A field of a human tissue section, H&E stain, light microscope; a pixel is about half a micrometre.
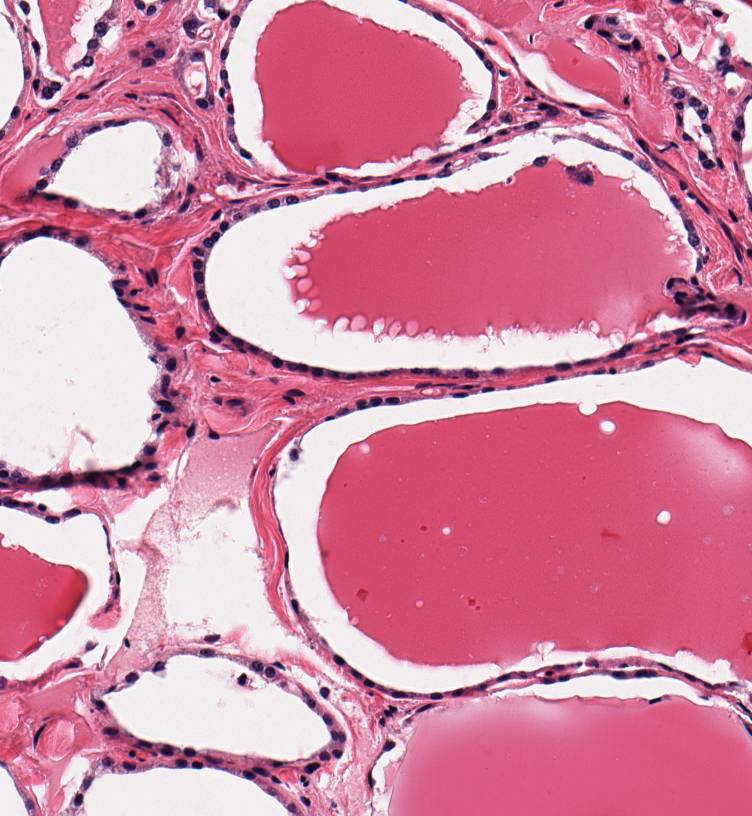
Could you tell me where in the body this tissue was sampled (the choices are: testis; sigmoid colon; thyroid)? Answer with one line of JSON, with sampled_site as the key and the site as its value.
{"sampled_site": "thyroid"}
